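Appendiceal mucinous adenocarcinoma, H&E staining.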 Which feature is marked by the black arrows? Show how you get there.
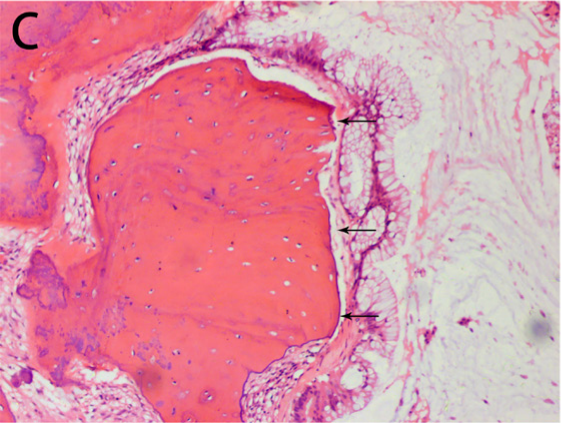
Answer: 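The arrows point to a crisp straight edge between a pink bony block and a row of columnar epithelial cells. No transition zone lies between the pink matrix and the epithelium.
Conclusion: A sharp boundary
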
